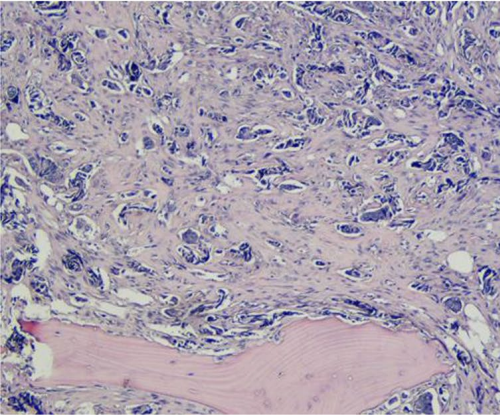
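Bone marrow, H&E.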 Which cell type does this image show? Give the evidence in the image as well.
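Neoplastic epithelial cells. Small clusters of dark blue cells are scattered through the section. The clusters sit in a pale pink fibrous background. A pink bony trabecula runs along the bottom.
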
